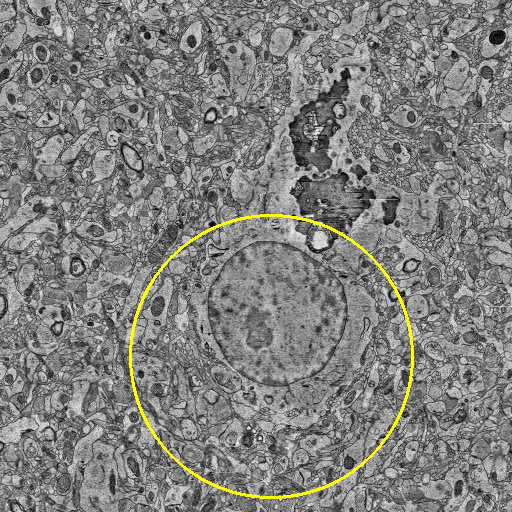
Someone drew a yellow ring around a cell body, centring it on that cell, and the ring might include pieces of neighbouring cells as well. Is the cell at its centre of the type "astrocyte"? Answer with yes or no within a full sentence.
Yes, within the picture, the cell the ring is centred on qualifies as that type.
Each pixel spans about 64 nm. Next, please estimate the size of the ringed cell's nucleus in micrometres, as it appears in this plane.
In this plane the nucleus is about 9 micrometres across.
